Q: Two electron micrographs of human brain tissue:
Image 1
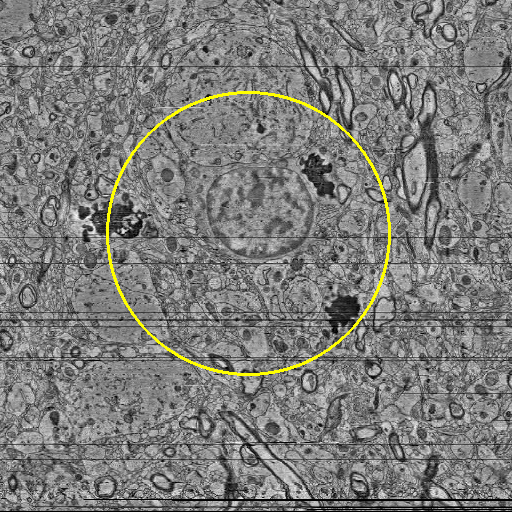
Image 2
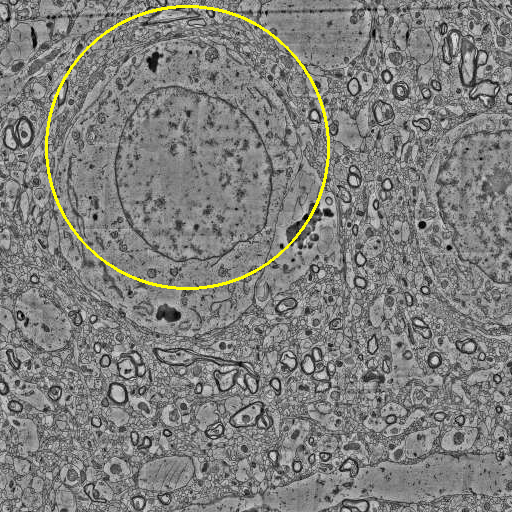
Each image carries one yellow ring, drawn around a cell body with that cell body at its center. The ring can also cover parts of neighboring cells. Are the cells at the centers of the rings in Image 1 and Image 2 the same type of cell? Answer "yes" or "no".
no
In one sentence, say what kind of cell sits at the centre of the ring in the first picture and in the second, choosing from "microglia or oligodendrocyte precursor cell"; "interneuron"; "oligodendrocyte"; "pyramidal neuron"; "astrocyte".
The first picture's ringed cell is an oligodendrocyte, while the second picture's is a pyramidal neuron.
